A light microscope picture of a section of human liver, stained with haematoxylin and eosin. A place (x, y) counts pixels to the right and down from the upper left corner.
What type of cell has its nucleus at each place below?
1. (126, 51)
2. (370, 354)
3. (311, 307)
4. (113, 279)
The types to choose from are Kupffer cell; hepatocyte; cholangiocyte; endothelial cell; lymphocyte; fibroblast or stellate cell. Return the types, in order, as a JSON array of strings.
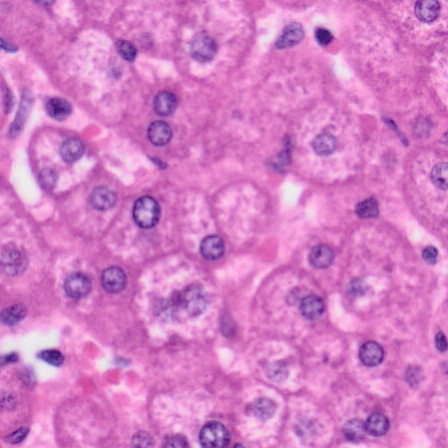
["fibroblast or stellate cell", "hepatocyte", "hepatocyte", "hepatocyte"]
